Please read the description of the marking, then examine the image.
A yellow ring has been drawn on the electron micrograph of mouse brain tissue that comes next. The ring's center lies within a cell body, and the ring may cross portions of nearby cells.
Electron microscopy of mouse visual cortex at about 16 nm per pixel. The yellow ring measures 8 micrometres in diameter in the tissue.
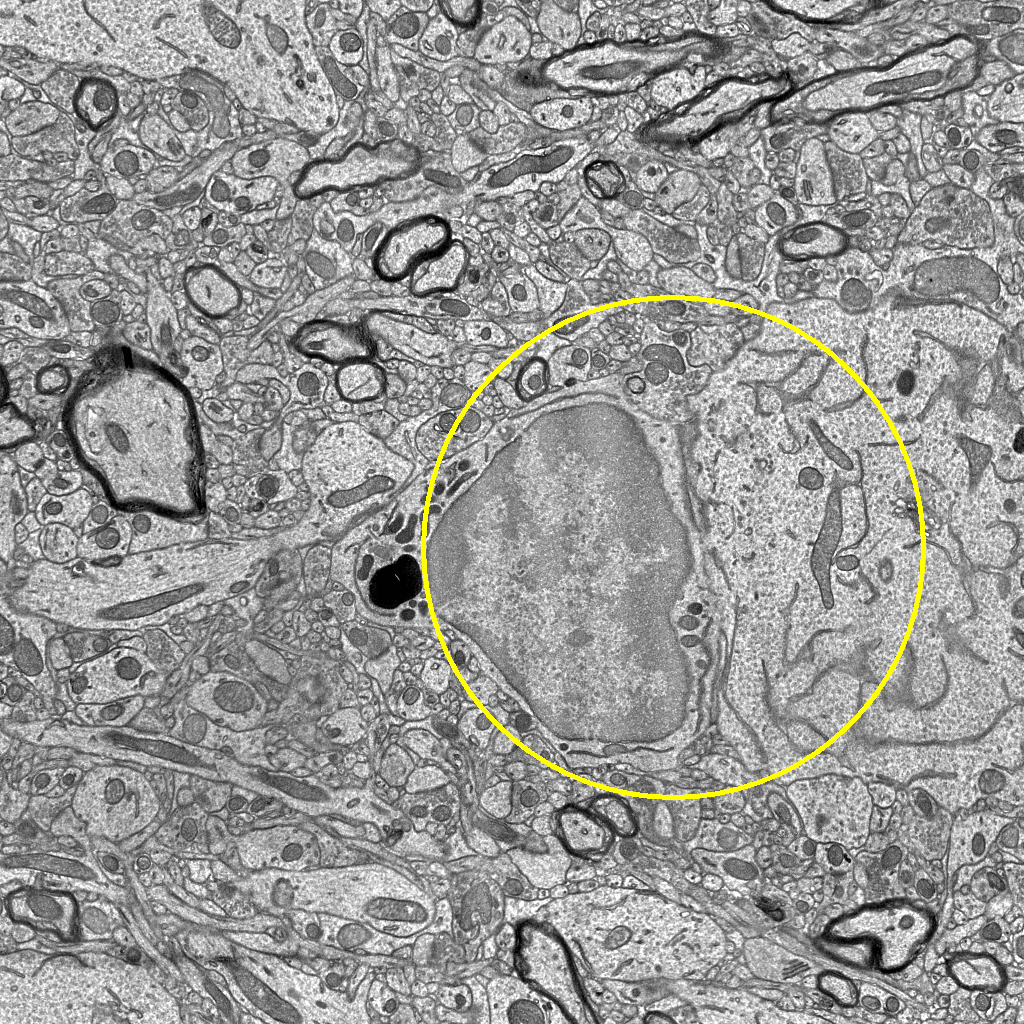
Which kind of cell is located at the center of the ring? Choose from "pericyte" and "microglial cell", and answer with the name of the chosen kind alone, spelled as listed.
microglial cell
